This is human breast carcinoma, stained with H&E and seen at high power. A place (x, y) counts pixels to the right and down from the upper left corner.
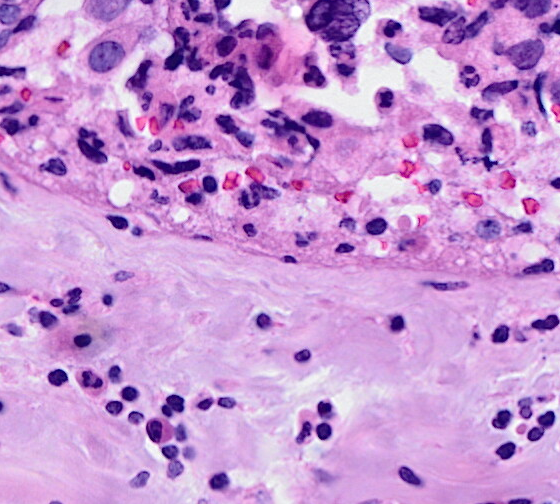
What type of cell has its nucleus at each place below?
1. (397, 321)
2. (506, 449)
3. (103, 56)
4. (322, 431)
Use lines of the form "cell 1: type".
cell 1: lymphocyte
cell 2: lymphocyte
cell 3: carcinoma cell
cell 4: lymphocyte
